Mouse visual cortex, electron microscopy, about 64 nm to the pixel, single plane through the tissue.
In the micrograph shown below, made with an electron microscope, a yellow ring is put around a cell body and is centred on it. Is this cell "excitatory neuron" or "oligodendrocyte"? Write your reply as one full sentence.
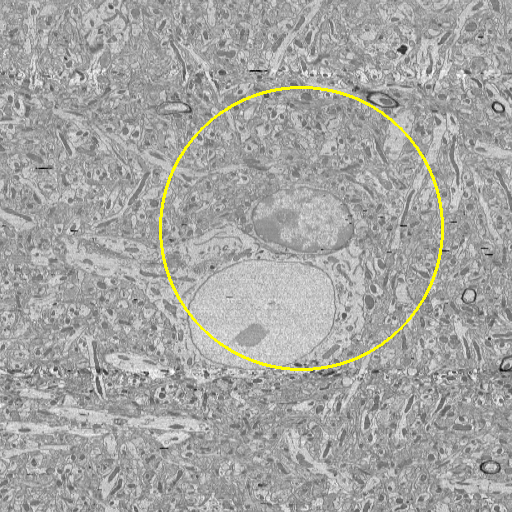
In the micrograph, an oligodendrocyte is the cell at the centre of the yellow ring.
